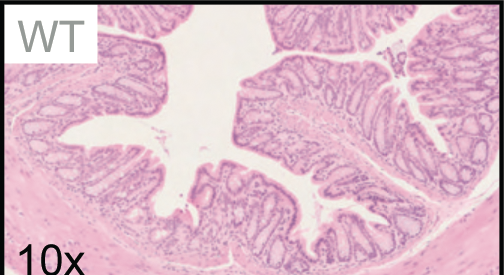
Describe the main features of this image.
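This is a section of colon wall with its mucosa folding around a central white lumen. The mucosa consists of many elongated tubular crypts lined by epithelium, standing side by side and cut both lengthwise and across. Crypt epithelium stains pink with purple nuclei, and the lamina propria between crypts holds scattered small purple nuclei. A paler pink muscular layer lies at the outer edge of the section at lower right. The crypt pattern is largely preserved across the field.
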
